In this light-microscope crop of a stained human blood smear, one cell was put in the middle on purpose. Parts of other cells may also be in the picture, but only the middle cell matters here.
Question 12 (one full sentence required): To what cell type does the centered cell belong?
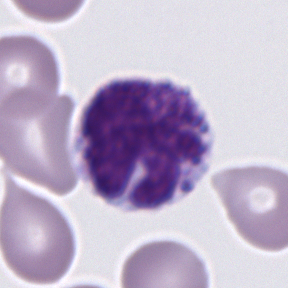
The centrally placed cell is classified as a basophil.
